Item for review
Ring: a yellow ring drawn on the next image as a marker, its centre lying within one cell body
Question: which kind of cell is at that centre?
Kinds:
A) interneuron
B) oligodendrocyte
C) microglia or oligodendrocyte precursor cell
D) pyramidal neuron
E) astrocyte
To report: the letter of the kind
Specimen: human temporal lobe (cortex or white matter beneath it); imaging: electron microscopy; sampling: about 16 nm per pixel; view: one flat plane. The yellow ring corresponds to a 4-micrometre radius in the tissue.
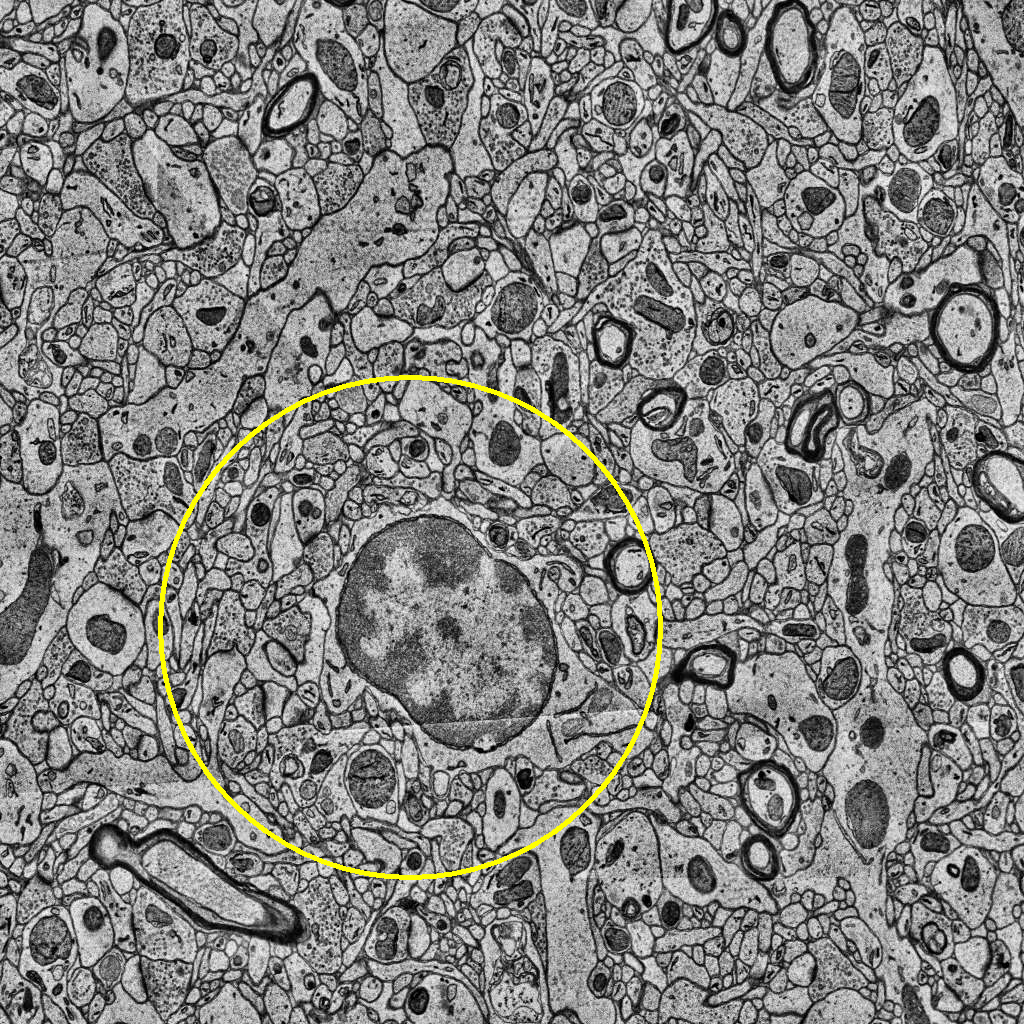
C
